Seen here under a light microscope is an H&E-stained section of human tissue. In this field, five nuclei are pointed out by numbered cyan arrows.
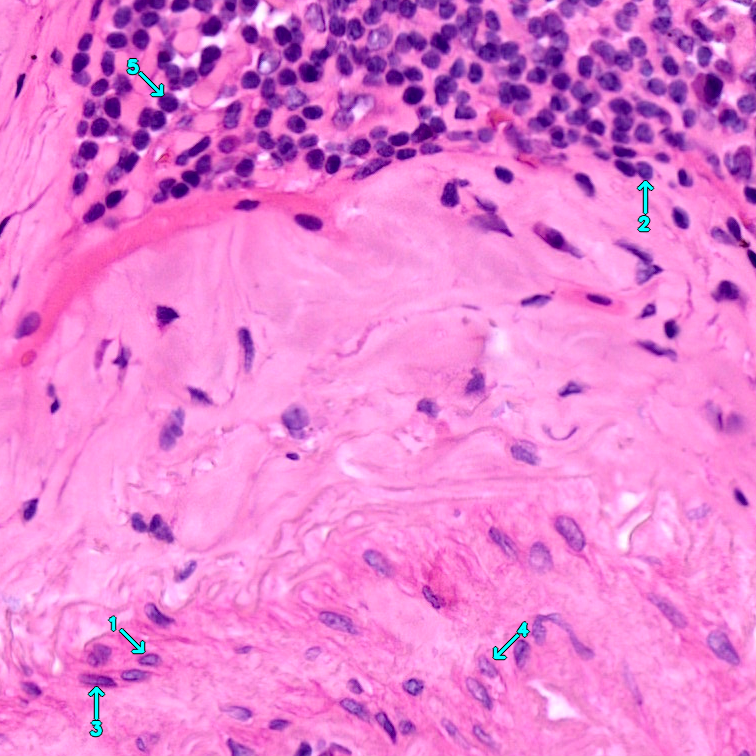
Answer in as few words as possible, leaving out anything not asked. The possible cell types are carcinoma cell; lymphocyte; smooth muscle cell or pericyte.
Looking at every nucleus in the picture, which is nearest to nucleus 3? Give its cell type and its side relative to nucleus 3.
a smooth muscle cell or pericyte; above nucleus 3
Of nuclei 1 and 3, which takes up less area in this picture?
1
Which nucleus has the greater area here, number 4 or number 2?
4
